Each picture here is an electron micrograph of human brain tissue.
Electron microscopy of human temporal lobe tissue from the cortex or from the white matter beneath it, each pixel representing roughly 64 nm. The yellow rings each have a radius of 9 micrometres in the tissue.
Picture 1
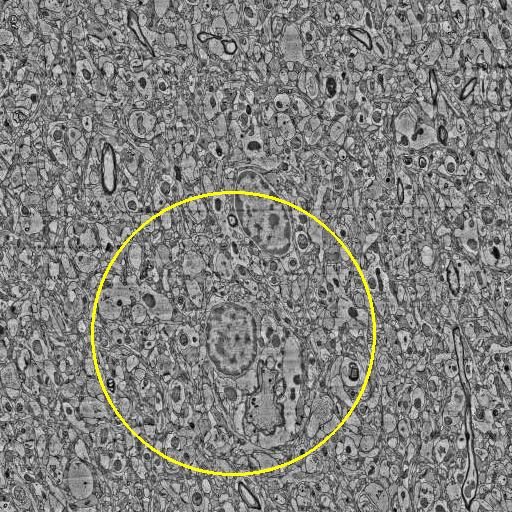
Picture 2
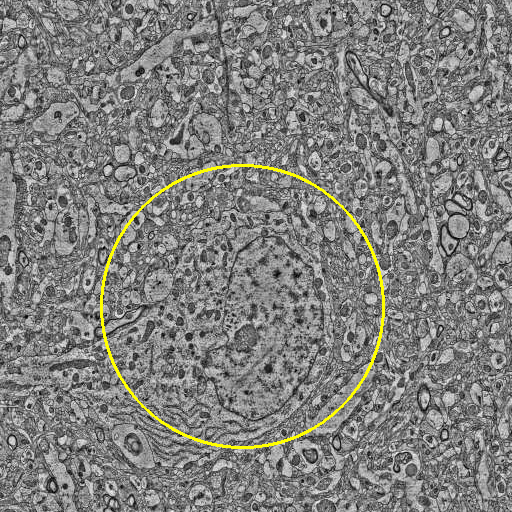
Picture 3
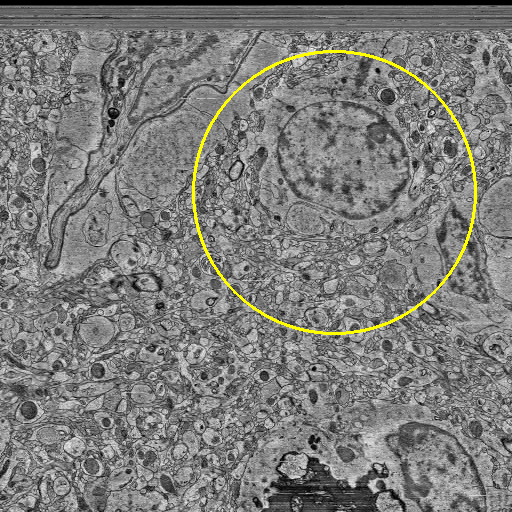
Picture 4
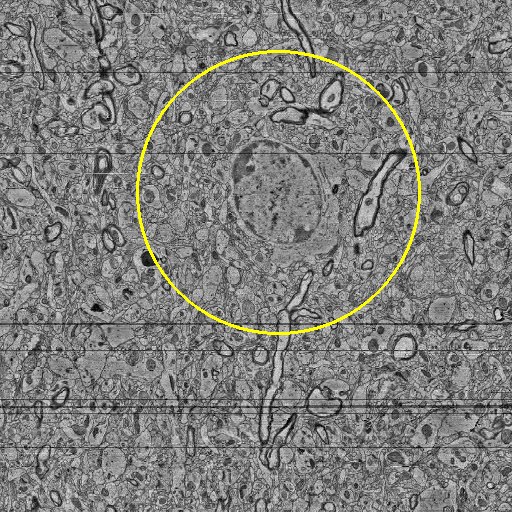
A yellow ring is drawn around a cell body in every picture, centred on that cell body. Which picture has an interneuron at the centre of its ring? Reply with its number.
2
